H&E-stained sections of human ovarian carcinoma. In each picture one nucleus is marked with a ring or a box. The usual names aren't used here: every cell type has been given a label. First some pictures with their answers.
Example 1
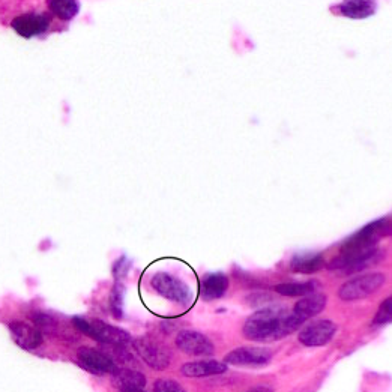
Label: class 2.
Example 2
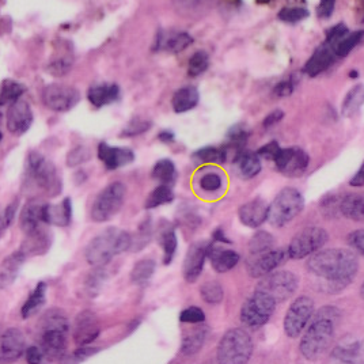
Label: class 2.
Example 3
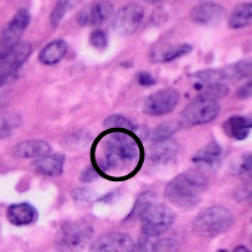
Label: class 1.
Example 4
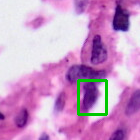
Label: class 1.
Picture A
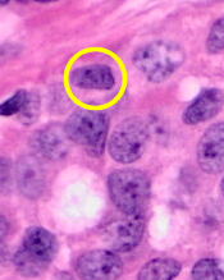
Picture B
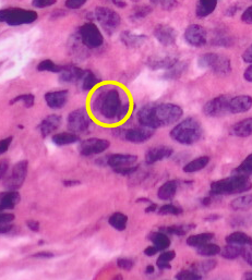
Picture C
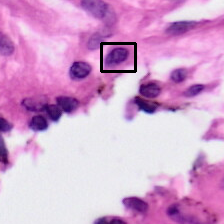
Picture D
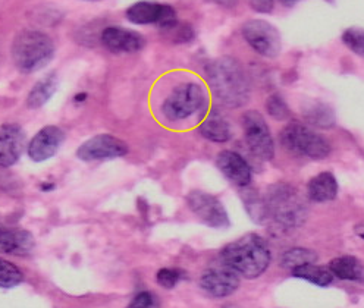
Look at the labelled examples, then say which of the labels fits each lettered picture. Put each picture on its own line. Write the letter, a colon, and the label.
A: class 2.
B: class 1.
C: class 2.
D: class 2.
